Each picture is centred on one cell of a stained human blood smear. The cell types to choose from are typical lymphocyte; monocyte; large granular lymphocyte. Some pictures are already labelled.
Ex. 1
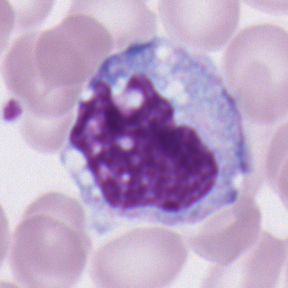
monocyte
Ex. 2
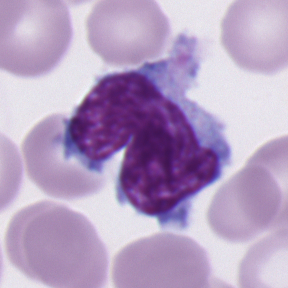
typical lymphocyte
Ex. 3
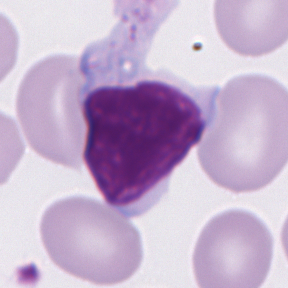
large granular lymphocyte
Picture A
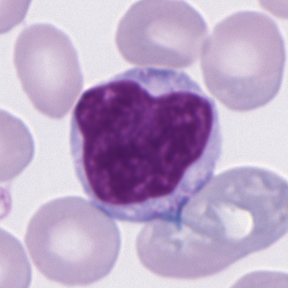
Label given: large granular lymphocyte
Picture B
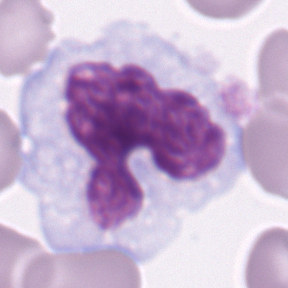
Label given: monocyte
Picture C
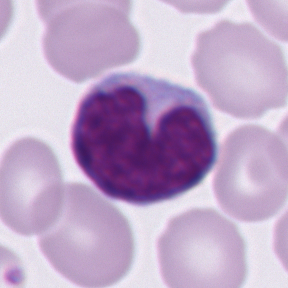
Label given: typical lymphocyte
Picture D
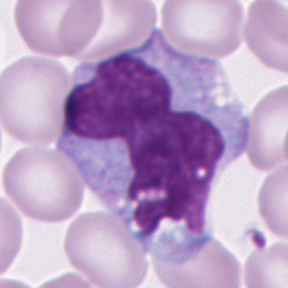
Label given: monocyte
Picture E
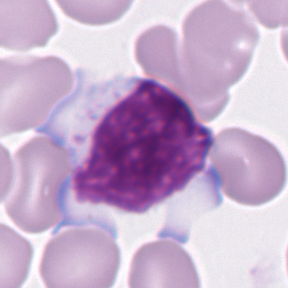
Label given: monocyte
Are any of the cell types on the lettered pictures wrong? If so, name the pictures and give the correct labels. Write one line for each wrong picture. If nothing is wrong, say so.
Wrong: A (large granular lymphocyte); correct: typical lymphocyte
Wrong: E (monocyte); correct: large granular lymphocyte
